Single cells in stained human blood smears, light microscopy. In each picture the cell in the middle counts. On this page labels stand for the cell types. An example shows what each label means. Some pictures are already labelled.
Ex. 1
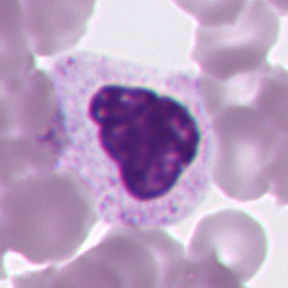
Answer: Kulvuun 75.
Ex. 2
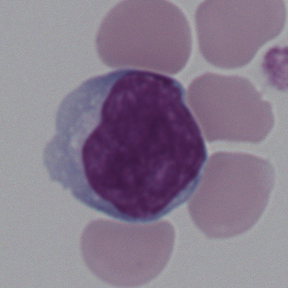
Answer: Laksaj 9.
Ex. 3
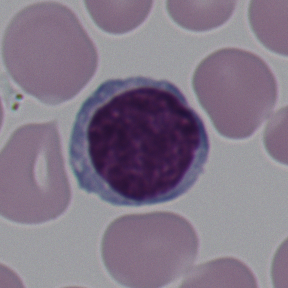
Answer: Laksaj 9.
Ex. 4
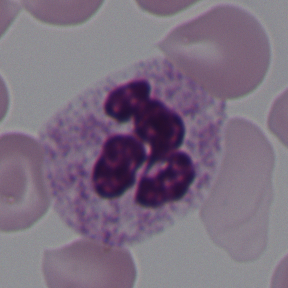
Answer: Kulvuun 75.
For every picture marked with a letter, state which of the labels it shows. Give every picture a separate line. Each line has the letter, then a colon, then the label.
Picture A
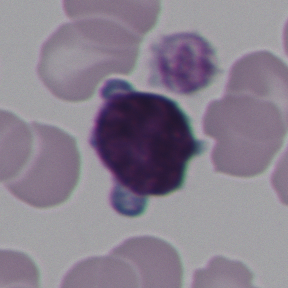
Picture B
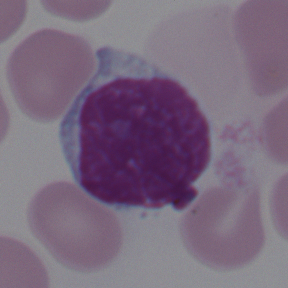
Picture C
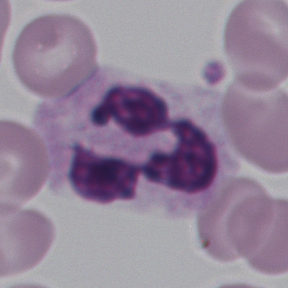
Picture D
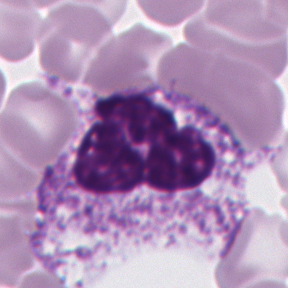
A: Laksaj 9.
B: Laksaj 9.
C: Kulvuun 75.
D: Kulvuun 75.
